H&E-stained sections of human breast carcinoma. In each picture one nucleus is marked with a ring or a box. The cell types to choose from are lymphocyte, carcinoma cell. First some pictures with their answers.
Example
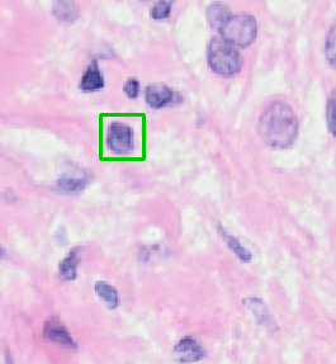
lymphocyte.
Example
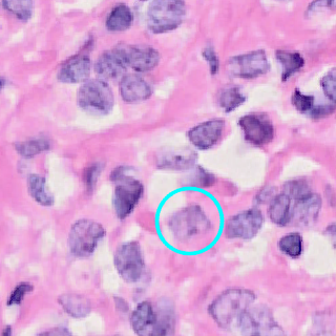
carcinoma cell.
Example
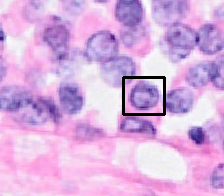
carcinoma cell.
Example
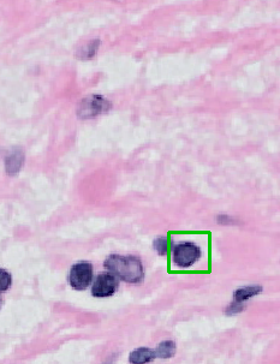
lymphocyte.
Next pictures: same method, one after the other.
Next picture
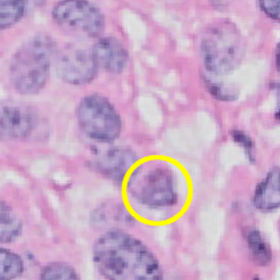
carcinoma cell.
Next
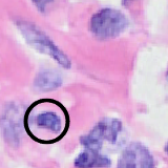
lymphocyte.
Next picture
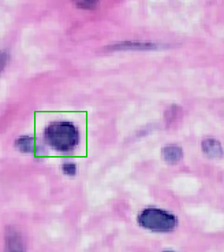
lymphocyte.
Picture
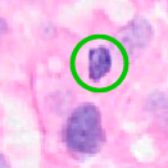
lymphocyte.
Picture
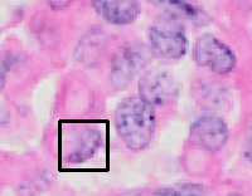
carcinoma cell.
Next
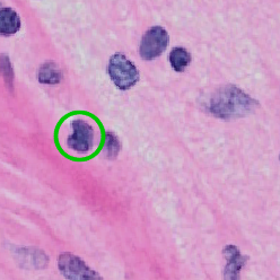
lymphocyte.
